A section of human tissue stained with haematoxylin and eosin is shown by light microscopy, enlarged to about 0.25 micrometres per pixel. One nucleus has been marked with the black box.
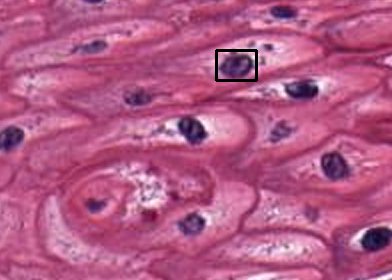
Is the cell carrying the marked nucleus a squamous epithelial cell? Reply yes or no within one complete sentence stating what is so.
Yes, to a squamous epithelial cell belongs the marked nucleus.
